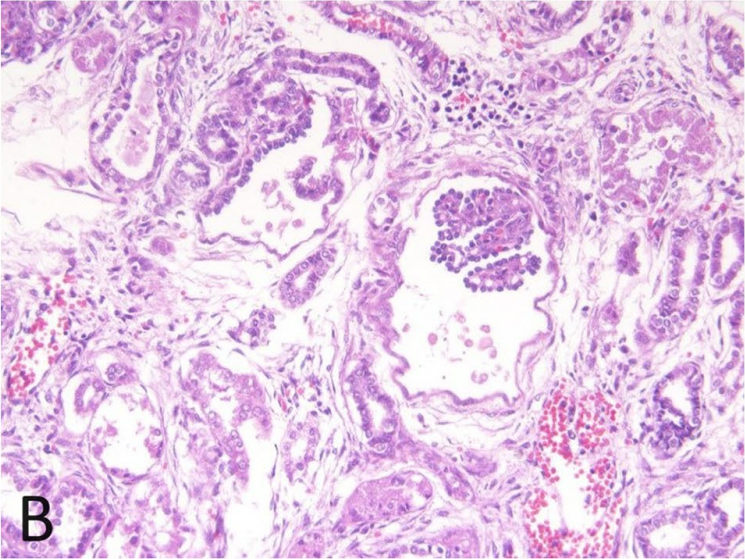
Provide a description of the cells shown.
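This is kidney cortex showing a glomerulus with a markedly dilated Bowman's space, surrounded by renal tubules. The capillary tuft is small and compact, with crowded dark purple nuclei, and lies at one side of a large, nearly empty round space lined by a thin flattened layer of cells. The space holds only a little pale material and a few scattered round bodies. Around it lie tubules cut in cross and oblique section, lined by cuboidal to columnar epithelium with pink cytoplasm and round nuclei. Loose pale interstitium with a few small dark inflammatory cells lies between the tubules, and congested vessels full of red blood cells are seen at the lower left and lower right.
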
